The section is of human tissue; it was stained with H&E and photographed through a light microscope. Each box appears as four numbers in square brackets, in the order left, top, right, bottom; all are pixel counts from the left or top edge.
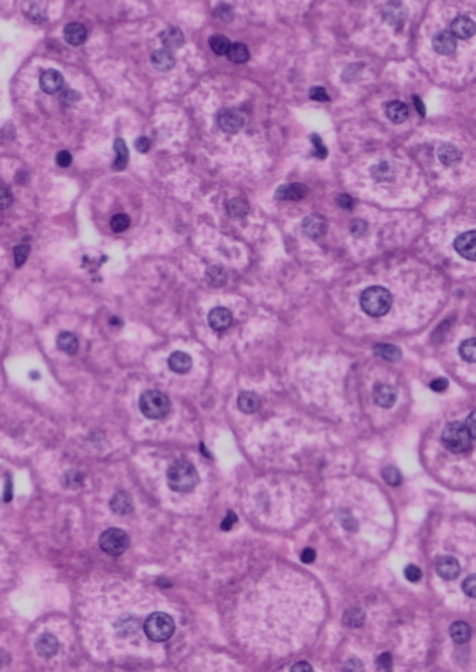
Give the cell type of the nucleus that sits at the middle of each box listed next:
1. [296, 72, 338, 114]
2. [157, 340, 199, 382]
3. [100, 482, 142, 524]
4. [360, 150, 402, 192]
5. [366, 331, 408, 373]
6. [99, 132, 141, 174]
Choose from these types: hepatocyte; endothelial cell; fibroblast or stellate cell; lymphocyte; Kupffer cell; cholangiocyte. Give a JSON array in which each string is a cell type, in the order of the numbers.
["fibroblast or stellate cell", "hepatocyte", "hepatocyte", "hepatocyte", "endothelial cell", "Kupffer cell"]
